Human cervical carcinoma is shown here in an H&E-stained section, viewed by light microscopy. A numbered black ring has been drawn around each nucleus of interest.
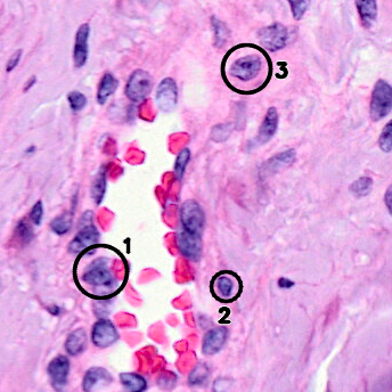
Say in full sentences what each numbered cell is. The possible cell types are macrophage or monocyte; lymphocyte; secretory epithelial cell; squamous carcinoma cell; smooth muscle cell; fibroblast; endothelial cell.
Cells 1 and 3 are endothelial cells. Cell 2 is a smooth muscle cell.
